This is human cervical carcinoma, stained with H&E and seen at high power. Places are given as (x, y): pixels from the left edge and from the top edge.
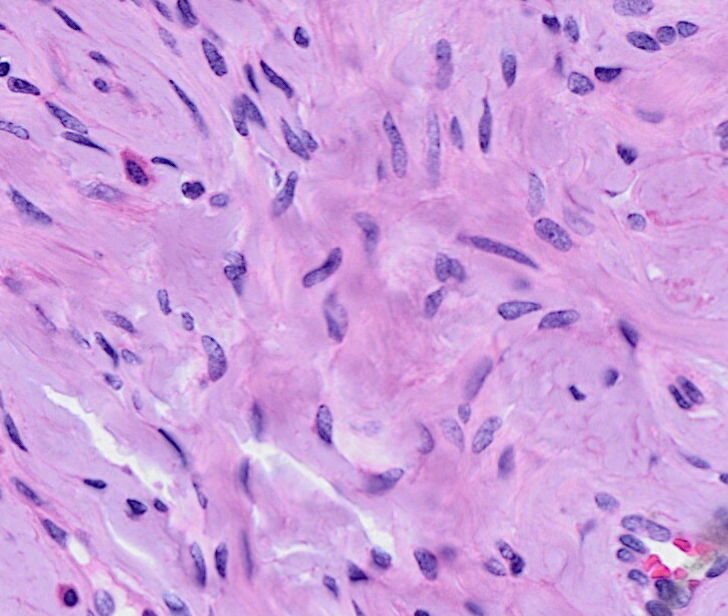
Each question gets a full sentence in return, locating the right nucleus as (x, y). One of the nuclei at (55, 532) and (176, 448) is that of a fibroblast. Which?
The nucleus at (176, 448), rather than the other, belongs to a fibroblast.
